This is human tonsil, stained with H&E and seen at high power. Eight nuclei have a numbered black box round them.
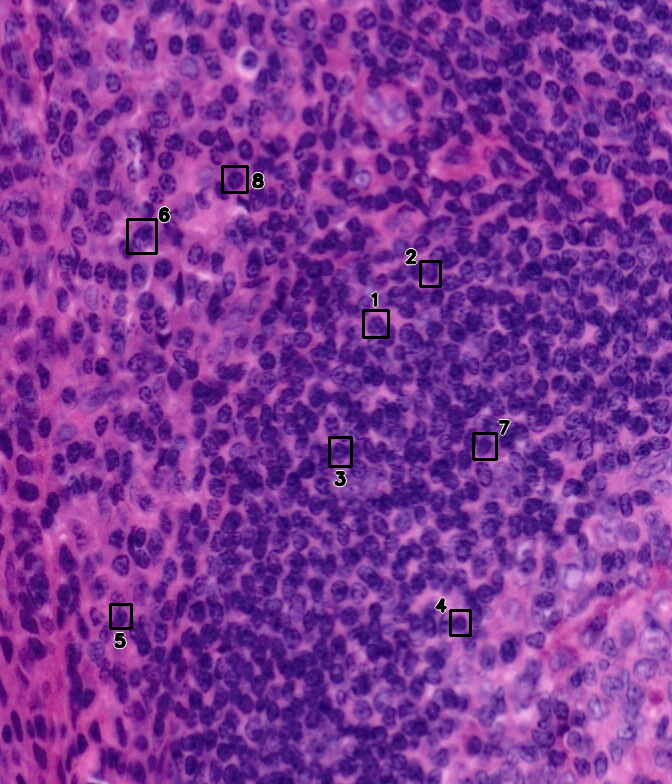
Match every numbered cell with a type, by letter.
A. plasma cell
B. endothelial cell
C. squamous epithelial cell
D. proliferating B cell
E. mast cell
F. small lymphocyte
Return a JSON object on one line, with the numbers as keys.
{"1": "F", "2": "F", "3": "F", "4": "F", "5": "A", "6": "A", "7": "F", "8": "A"}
